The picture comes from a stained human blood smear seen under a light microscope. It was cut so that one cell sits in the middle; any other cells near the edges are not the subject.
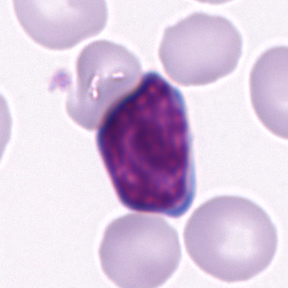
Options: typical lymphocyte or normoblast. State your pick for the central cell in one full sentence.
The centered cell in this crop is a typical lymphocyte.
